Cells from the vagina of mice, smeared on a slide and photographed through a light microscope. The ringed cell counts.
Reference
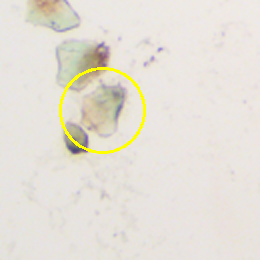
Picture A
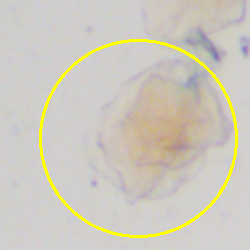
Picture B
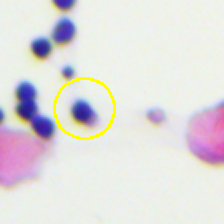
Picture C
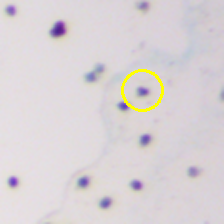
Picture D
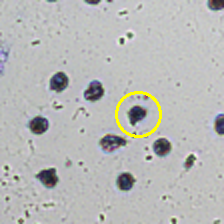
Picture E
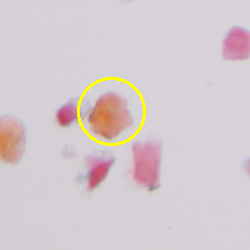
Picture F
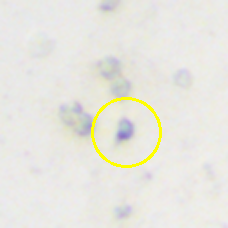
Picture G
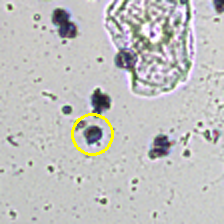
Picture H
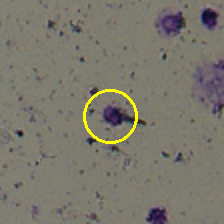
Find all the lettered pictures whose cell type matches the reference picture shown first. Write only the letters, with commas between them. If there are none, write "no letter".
A, E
